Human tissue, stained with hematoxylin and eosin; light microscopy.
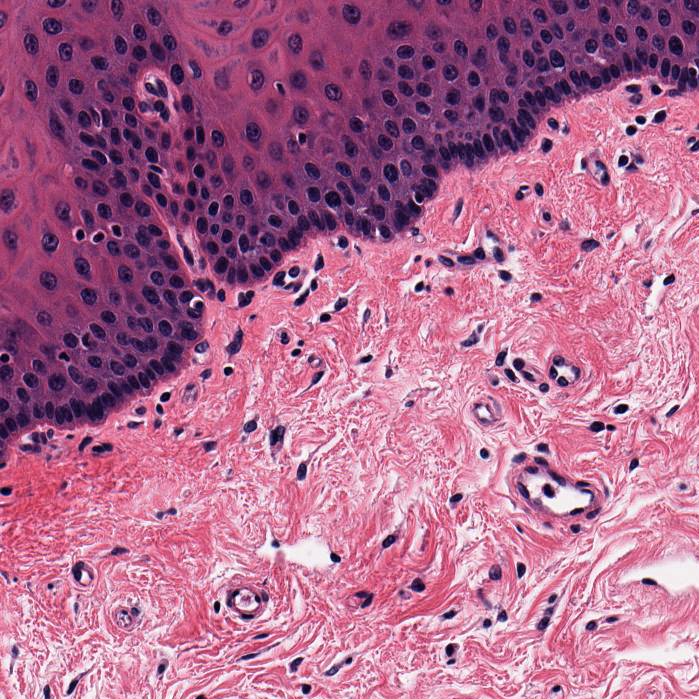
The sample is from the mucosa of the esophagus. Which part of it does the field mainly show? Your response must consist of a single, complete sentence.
The part in view in this section is loose connective tissue.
